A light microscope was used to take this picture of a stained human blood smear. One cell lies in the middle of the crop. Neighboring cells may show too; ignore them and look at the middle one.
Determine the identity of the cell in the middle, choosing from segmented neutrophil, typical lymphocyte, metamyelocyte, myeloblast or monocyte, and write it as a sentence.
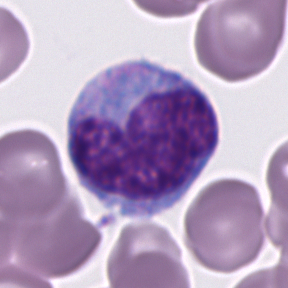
The central cell in this smear crop is a monocyte.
